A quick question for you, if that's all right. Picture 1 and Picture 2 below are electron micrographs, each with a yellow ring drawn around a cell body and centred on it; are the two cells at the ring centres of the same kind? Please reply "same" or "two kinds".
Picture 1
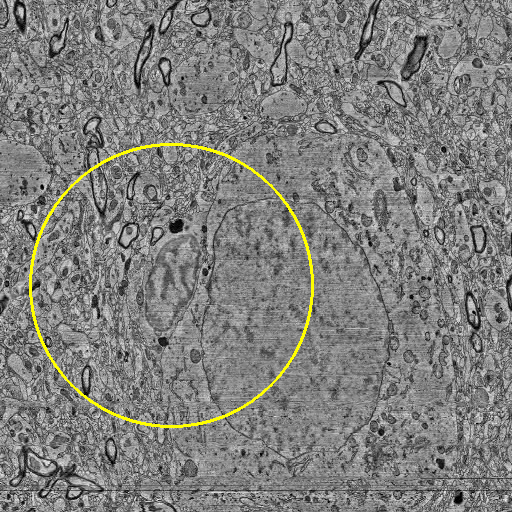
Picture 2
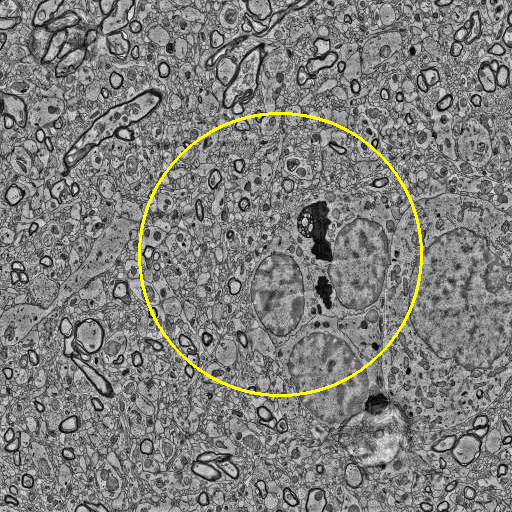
same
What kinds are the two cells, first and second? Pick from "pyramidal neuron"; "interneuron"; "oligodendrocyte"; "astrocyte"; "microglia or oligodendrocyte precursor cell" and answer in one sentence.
The cell at the ring centre is an oligodendrocyte in both pictures.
